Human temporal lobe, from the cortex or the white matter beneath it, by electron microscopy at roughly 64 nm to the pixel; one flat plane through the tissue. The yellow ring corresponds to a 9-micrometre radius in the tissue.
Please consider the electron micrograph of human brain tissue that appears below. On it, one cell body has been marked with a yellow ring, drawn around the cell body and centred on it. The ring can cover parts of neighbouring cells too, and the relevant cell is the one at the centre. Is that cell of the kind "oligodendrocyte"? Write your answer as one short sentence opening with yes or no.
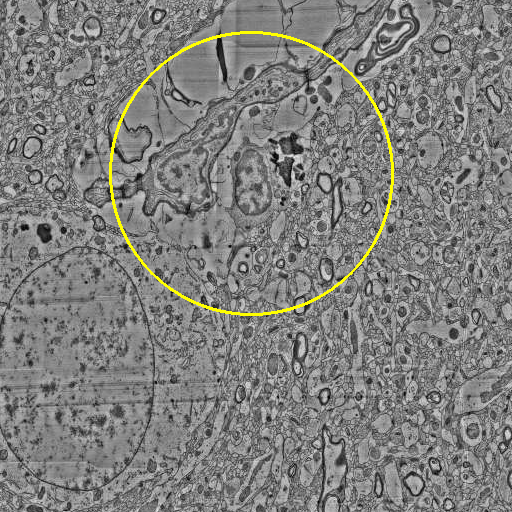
Yes, it is of that kind.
